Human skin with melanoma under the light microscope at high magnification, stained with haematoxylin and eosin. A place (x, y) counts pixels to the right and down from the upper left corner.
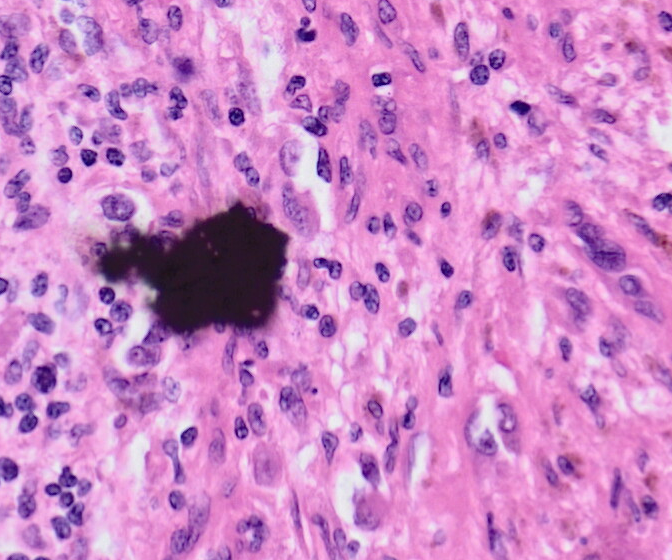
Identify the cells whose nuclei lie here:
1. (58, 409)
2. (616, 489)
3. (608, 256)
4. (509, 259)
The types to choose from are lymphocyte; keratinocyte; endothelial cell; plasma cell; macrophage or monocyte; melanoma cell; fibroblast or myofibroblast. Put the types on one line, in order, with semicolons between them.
lymphocyte; fibroblast or myofibroblast; melanoma cell; lymphocyte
